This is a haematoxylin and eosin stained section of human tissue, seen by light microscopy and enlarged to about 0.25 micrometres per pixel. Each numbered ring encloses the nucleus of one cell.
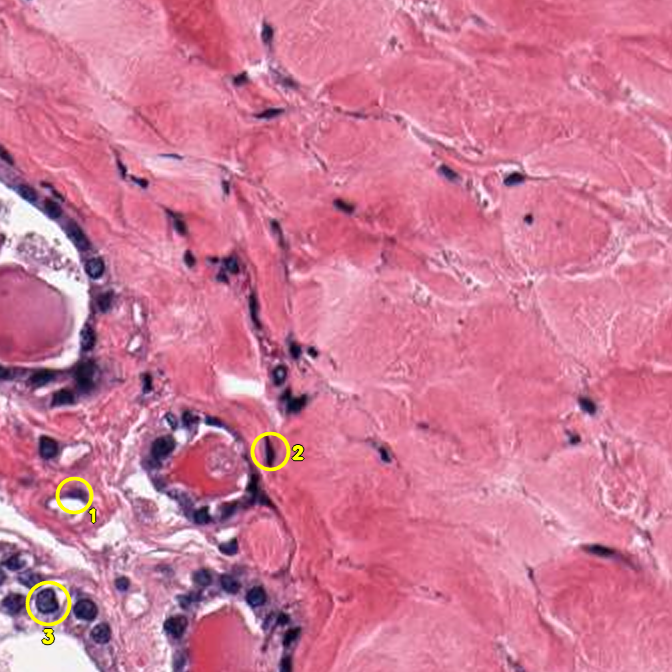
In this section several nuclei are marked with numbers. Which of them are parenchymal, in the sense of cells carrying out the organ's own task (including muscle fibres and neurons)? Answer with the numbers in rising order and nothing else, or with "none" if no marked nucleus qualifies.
3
